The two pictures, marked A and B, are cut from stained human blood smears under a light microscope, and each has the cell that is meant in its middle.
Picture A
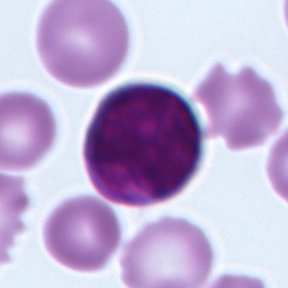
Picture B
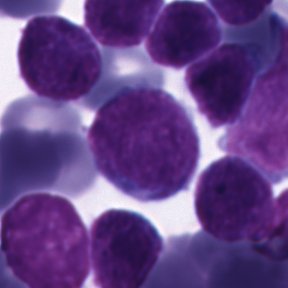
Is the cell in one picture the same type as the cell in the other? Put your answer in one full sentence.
Yes, the two pictures both show myeloblasts.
